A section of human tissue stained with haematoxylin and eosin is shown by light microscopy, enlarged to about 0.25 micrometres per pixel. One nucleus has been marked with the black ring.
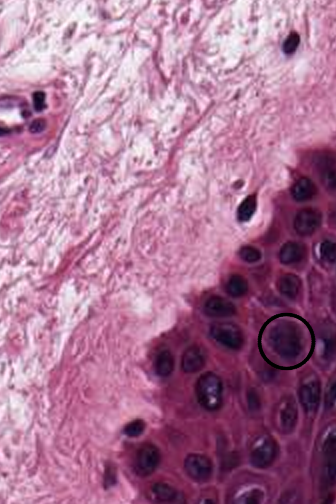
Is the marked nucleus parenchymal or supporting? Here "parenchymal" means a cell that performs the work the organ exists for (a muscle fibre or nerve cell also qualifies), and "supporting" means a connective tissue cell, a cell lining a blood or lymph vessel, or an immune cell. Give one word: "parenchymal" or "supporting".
parenchymal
